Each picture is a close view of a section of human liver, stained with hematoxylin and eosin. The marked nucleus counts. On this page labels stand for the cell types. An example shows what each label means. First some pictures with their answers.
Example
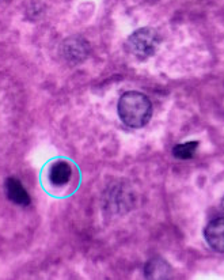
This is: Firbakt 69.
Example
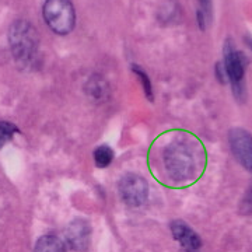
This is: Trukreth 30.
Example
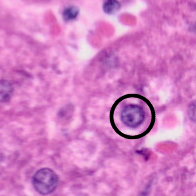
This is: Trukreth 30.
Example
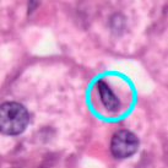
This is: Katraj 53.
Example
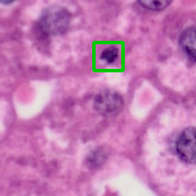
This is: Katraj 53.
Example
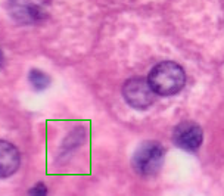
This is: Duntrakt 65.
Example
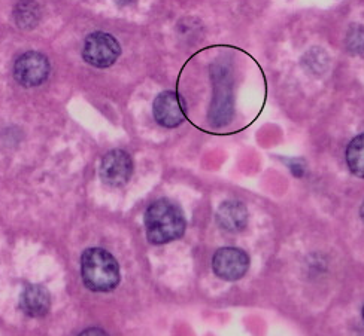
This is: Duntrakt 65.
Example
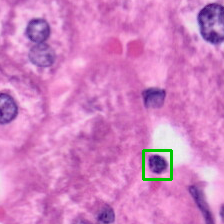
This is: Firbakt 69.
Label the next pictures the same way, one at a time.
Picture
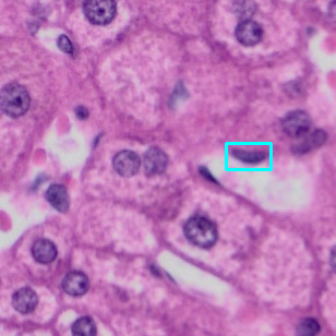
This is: Katraj 53.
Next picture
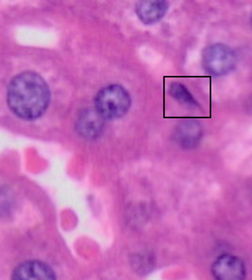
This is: Katraj 53.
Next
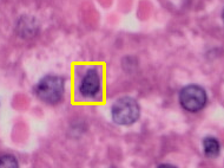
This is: Katraj 53.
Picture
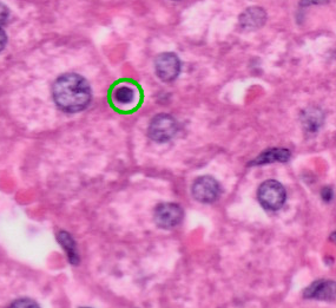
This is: Firbakt 69.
